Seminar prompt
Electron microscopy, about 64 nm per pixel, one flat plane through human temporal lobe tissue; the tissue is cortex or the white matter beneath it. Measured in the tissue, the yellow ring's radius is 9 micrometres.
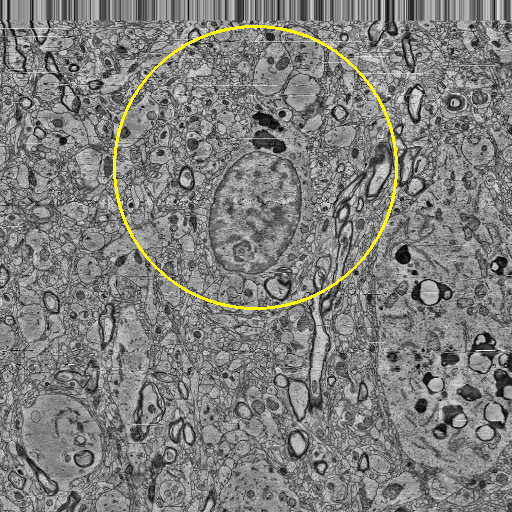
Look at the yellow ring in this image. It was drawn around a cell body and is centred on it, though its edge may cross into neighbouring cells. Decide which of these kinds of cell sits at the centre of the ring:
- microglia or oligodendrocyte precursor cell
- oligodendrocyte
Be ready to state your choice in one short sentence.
The kind of cell at the ring's centre is an oligodendrocyte.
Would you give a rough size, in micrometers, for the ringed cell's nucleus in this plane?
The nucleus of the ringed cell is approximately 8 by 6 micrometres in this plane.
